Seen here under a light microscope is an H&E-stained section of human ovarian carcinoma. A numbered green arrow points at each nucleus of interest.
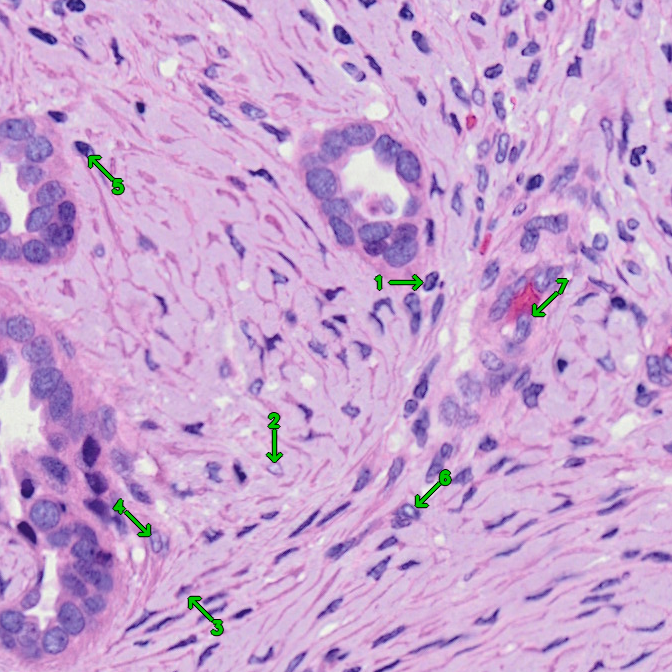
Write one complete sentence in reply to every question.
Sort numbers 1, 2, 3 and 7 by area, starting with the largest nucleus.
Going from the biggest nucleus down to the smallest gives 7, 1, 2, 3.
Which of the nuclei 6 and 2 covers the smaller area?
The smaller nucleus is 2, and 6 covers roughly 3 times its area.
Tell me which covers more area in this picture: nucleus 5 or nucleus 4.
It is nucleus 4, which covers about 1.5 times the area of nucleus 5.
